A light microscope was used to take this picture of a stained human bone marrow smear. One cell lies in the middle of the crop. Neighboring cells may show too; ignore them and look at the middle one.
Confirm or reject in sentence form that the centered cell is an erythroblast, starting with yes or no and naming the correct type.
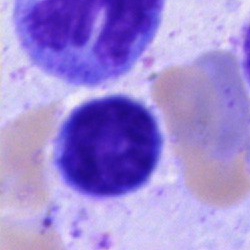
No, it is a lymphocyte and not an erythroblast that occupies the middle of the crop.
